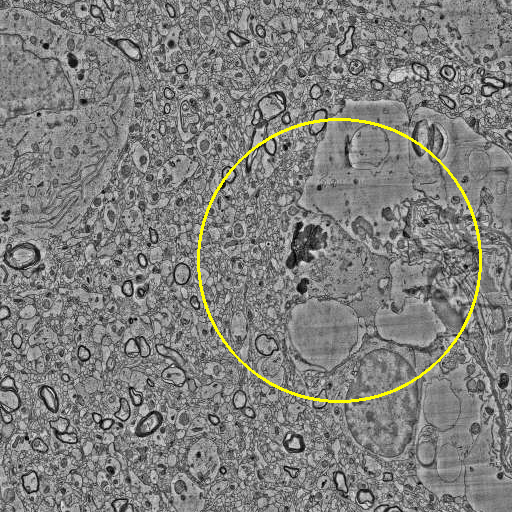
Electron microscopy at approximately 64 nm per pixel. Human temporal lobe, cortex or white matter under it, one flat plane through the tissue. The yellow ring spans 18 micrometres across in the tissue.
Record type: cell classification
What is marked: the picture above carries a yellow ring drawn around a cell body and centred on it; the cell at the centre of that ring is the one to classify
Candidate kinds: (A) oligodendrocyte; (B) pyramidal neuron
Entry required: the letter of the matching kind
A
